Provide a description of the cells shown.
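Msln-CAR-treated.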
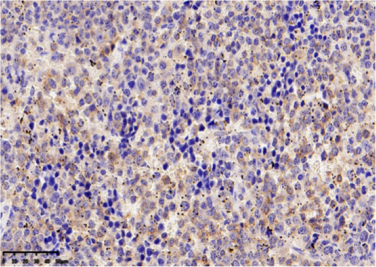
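This is a densely cellular section in which closely packed, roundish cells fill the whole field. Many of them show brown staining of the cytoplasm around a round, blue-stained nucleus, while others show only the blue nucleus. Small dark brown to black granules are scattered among the cells.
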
